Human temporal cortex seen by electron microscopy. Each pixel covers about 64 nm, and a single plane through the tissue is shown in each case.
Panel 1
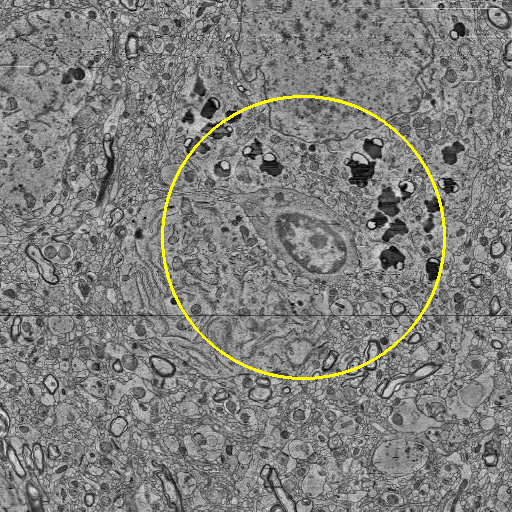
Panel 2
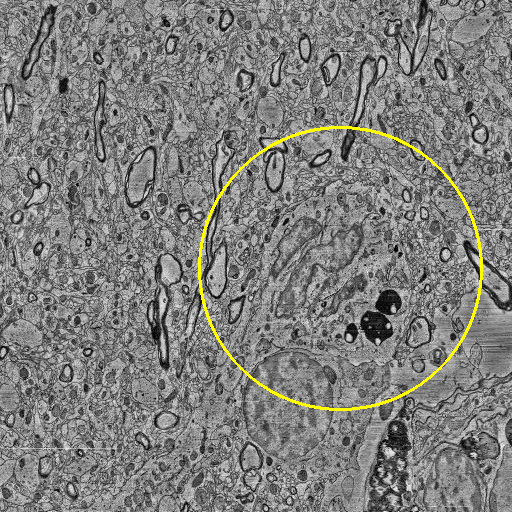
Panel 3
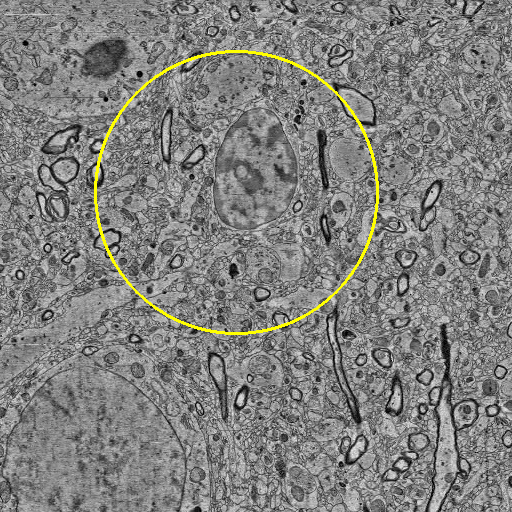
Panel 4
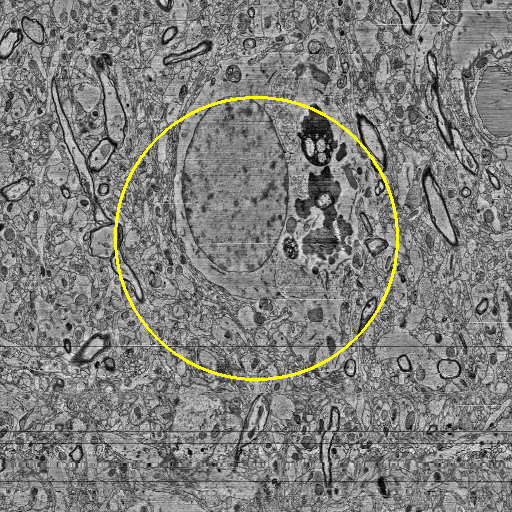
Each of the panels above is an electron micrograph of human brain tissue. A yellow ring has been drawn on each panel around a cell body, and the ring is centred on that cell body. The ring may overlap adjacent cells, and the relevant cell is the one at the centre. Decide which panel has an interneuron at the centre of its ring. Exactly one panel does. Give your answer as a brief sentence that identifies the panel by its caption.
Panel 2 is the one with it at the centre of the ring.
